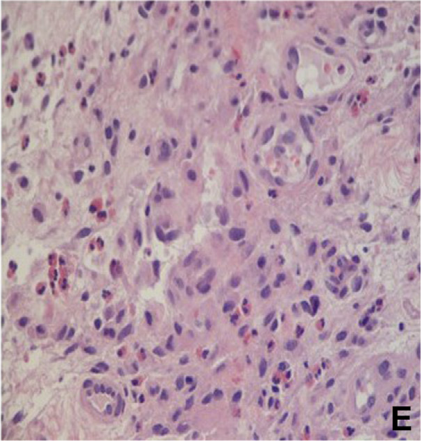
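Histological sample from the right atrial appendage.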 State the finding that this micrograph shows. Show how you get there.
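Many scattered cells have bright red-orange granular cytoplasm. Some of these cells have lobed nuclei. They lie among plump stromal cells and small vessels. On this evidence: Eosinophil infiltration.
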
